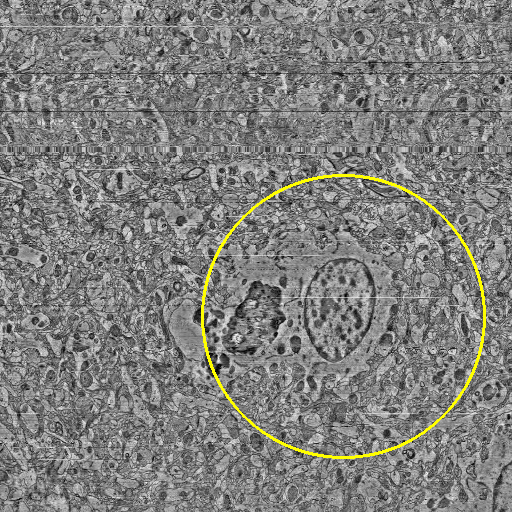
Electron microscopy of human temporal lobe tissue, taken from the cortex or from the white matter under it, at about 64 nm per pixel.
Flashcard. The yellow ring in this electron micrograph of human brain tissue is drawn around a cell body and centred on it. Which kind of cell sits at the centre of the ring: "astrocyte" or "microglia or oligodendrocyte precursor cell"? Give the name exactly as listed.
astrocyte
